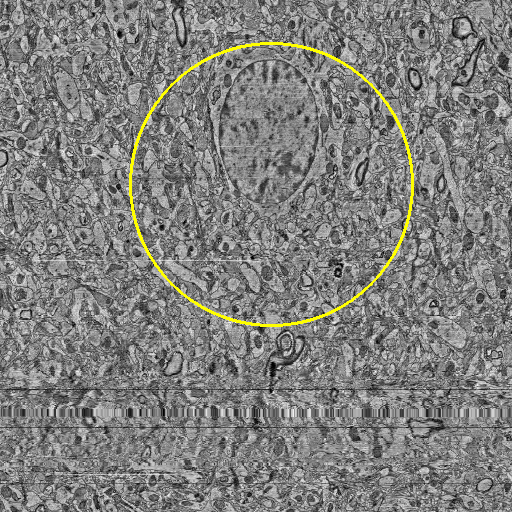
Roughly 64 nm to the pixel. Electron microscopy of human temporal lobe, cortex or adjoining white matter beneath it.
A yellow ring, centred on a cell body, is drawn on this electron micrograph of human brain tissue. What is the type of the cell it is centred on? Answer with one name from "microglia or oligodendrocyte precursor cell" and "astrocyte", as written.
astrocyte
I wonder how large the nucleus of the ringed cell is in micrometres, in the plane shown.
At approximately 10 by 6 micrometres, the nucleus is clearly longer than it is wide in this plane.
